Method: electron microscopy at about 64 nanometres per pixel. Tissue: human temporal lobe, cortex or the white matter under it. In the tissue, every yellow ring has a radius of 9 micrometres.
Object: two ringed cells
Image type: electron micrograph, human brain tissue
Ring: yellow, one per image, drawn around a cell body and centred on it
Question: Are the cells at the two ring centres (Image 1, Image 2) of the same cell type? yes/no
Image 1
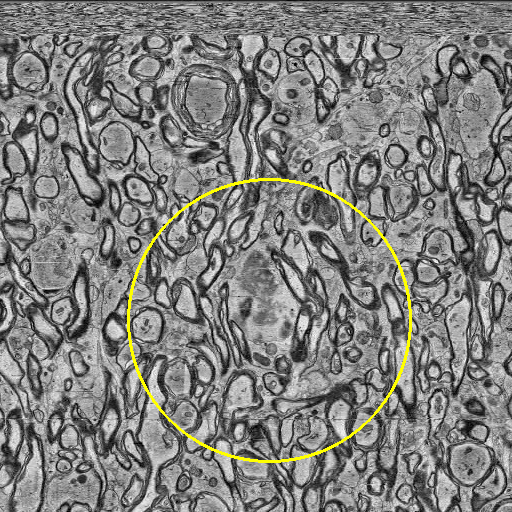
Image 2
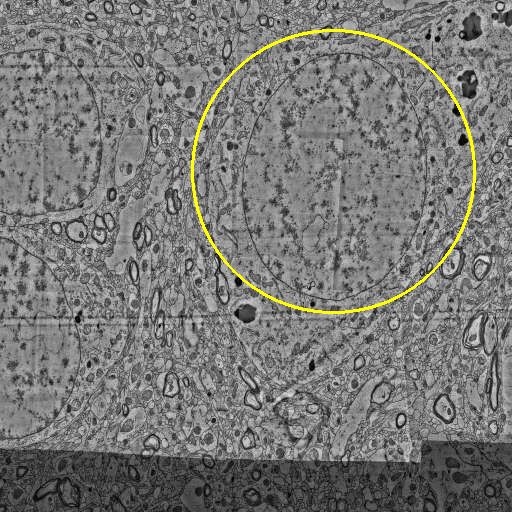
no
